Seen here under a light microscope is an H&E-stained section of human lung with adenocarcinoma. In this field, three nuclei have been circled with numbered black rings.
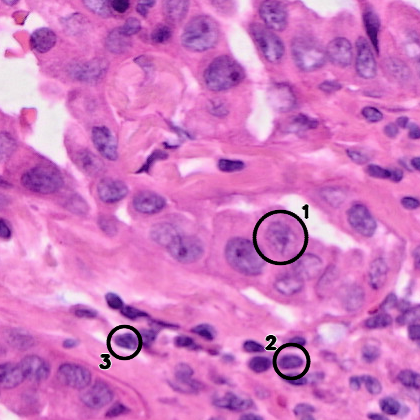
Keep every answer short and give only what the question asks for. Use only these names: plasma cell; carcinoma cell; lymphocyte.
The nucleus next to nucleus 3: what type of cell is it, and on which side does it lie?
a plasma cell to the right of nucleus 3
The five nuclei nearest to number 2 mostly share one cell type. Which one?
lymphocyte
